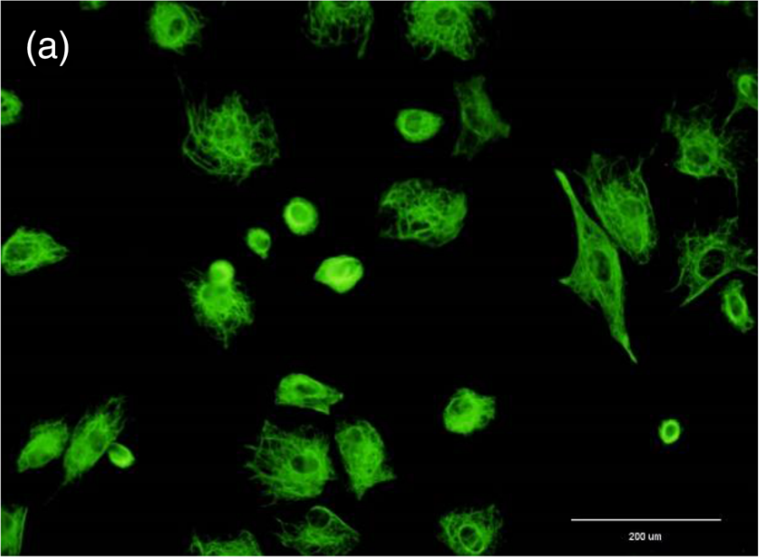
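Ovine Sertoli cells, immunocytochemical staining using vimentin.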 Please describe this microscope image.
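In the flatter, spread cells the green filaments form dense, wavy bundles that loop around a dark, unstained central space where the nucleus lies. Some cells are spread out and angular, with elongated tapering extensions. Others are small and rounded, with a bright green ring or cap around a darker centre.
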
